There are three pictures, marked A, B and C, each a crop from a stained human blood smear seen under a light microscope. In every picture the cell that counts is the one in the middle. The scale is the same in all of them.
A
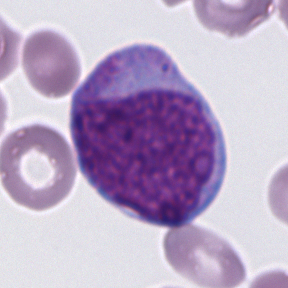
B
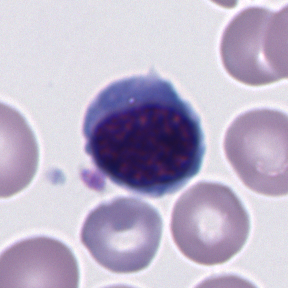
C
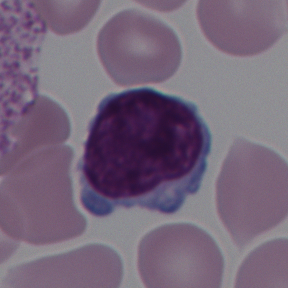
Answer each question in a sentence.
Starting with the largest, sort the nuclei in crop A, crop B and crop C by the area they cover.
Going down, they run A, C, B.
